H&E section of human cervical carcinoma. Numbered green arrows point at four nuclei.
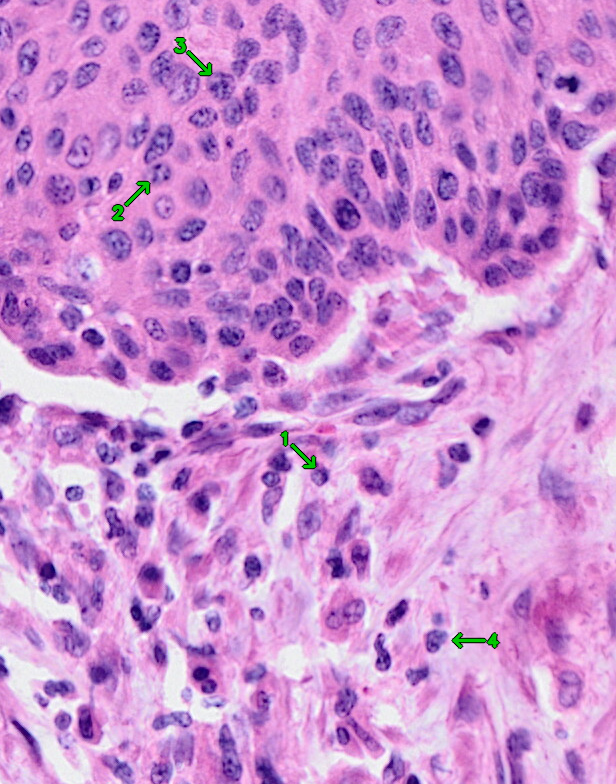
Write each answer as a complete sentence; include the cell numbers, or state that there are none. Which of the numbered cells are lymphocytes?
Cells that were given the numbers 1 and 4 are lymphocytes.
